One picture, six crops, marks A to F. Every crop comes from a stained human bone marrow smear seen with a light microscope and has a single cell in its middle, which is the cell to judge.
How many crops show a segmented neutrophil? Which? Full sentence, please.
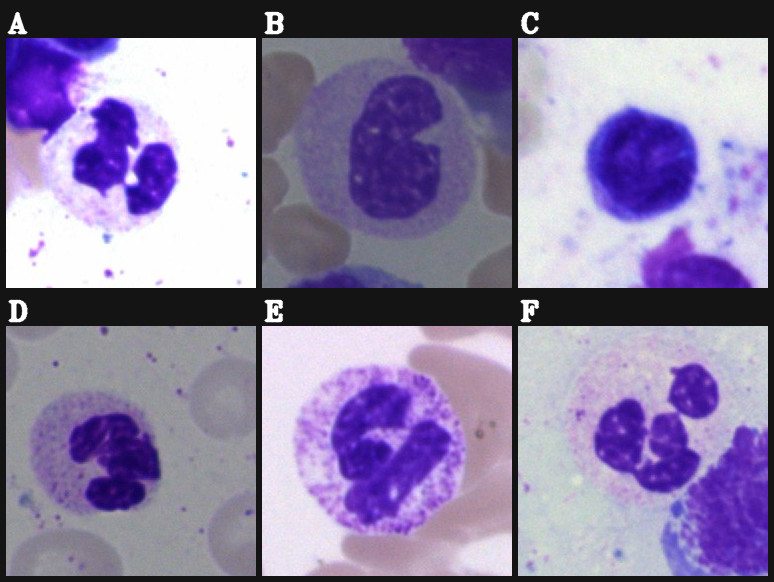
The cells at the centre of crops A, D, E and F are segmented neutrophils, four crops in all.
